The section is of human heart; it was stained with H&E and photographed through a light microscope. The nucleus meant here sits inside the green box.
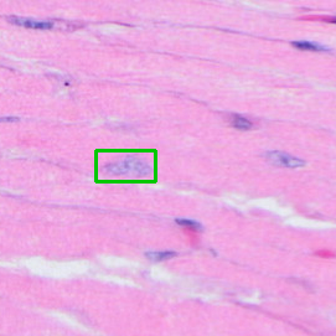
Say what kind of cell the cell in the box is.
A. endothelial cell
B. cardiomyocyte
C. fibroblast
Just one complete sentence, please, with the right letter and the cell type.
What option B states, that the cell in the box is a cardiomyocyte, is correct.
